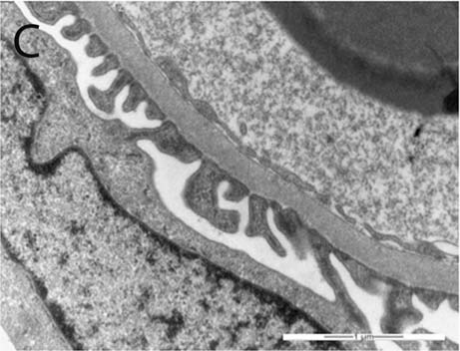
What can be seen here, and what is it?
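This is a glomerular capillary wall seen by transmission electron microscopy. A homogeneous grey basement membrane runs diagonally across the field. On its luminal side, towards the upper right, a very thin, attenuated endothelial cytoplasm lines it, interrupted by small pores; the lumen holds finely granular plasma and part of a dense erythrocyte. At the lower left lies a podocyte cell body with a large nucleus showing clumped chromatin along its envelope.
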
